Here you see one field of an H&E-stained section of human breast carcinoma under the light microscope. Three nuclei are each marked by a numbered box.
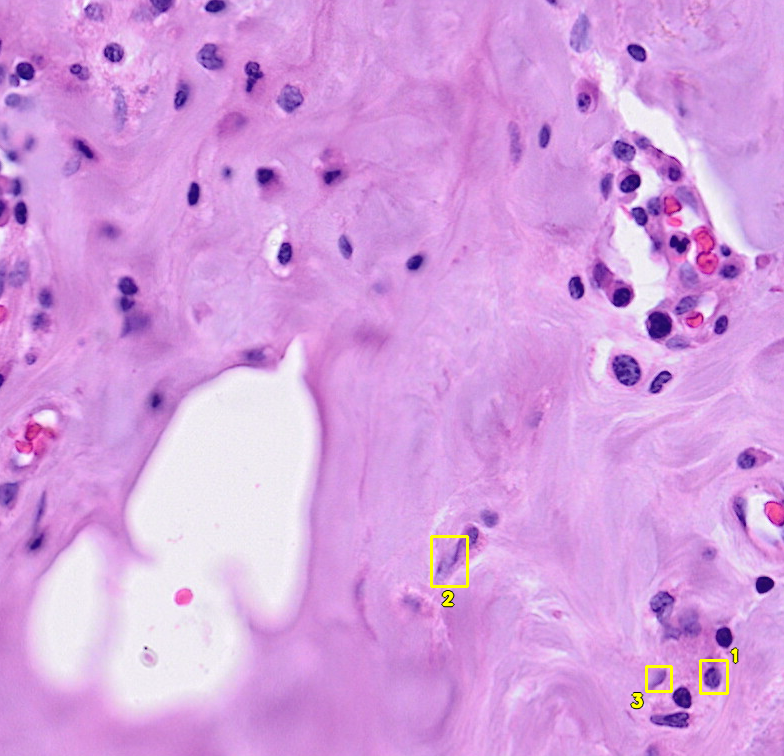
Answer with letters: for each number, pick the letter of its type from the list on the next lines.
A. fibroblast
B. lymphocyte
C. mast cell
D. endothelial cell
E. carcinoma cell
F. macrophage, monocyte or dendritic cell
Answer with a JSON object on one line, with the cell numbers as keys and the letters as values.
{"1": "B", "2": "A", "3": "A"}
